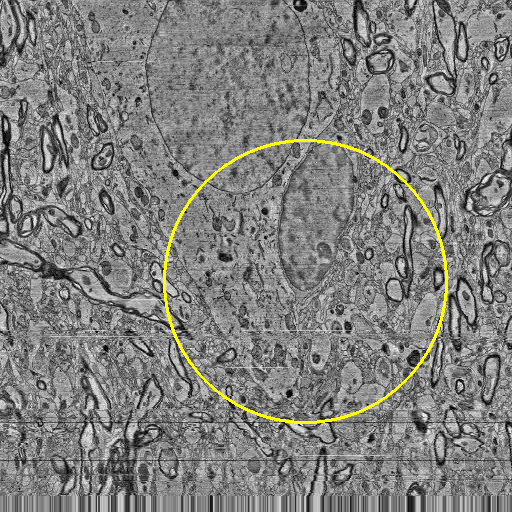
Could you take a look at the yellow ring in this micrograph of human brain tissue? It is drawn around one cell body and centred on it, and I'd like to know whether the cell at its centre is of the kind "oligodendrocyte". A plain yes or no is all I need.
yes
